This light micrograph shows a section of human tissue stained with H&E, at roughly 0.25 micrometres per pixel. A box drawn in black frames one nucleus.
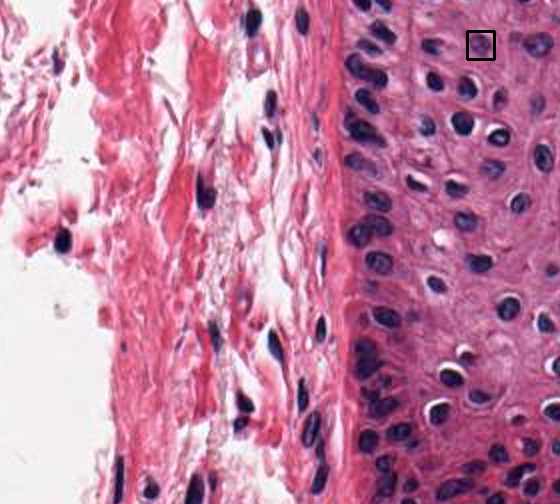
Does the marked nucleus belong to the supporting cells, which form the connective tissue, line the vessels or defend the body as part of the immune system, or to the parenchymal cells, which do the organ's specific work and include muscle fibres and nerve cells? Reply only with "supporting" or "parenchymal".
parenchymal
